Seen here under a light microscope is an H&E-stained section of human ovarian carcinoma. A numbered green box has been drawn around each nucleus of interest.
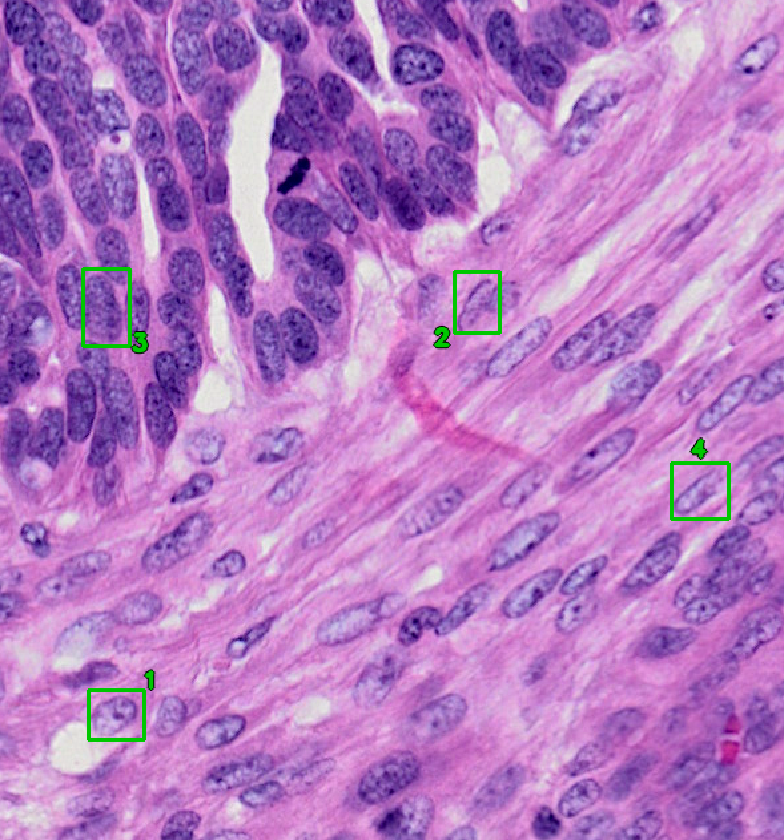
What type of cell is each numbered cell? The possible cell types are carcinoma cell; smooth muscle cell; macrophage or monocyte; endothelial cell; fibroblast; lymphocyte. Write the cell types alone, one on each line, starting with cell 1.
fibroblast
fibroblast
carcinoma cell
fibroblast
